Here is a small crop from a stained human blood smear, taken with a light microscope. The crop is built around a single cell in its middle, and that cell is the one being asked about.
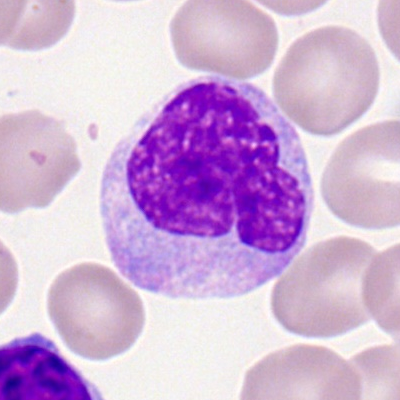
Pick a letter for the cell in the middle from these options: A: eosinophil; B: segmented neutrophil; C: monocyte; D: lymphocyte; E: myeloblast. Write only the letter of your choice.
C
